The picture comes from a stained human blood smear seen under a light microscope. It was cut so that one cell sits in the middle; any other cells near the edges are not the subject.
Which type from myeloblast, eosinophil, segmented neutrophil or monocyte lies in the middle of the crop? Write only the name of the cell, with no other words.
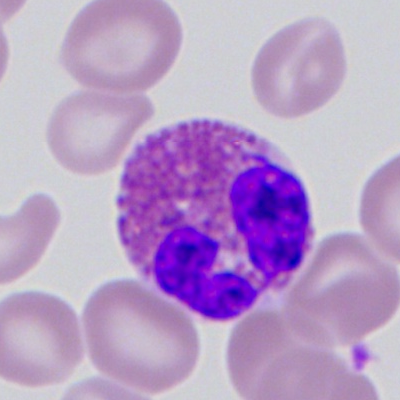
eosinophil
